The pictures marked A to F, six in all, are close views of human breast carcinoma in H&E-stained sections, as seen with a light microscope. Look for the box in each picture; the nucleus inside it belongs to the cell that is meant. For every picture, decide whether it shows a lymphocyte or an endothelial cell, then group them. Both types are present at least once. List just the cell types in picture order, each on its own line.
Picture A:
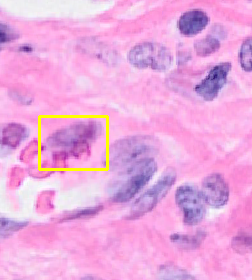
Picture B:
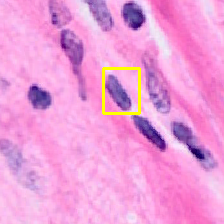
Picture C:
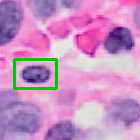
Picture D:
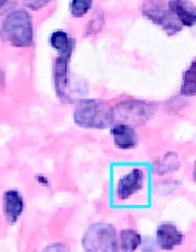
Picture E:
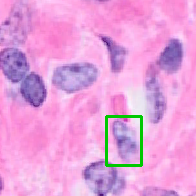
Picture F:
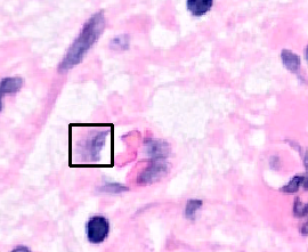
endothelial cell
lymphocyte
lymphocyte
lymphocyte
endothelial cell
endothelial cell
